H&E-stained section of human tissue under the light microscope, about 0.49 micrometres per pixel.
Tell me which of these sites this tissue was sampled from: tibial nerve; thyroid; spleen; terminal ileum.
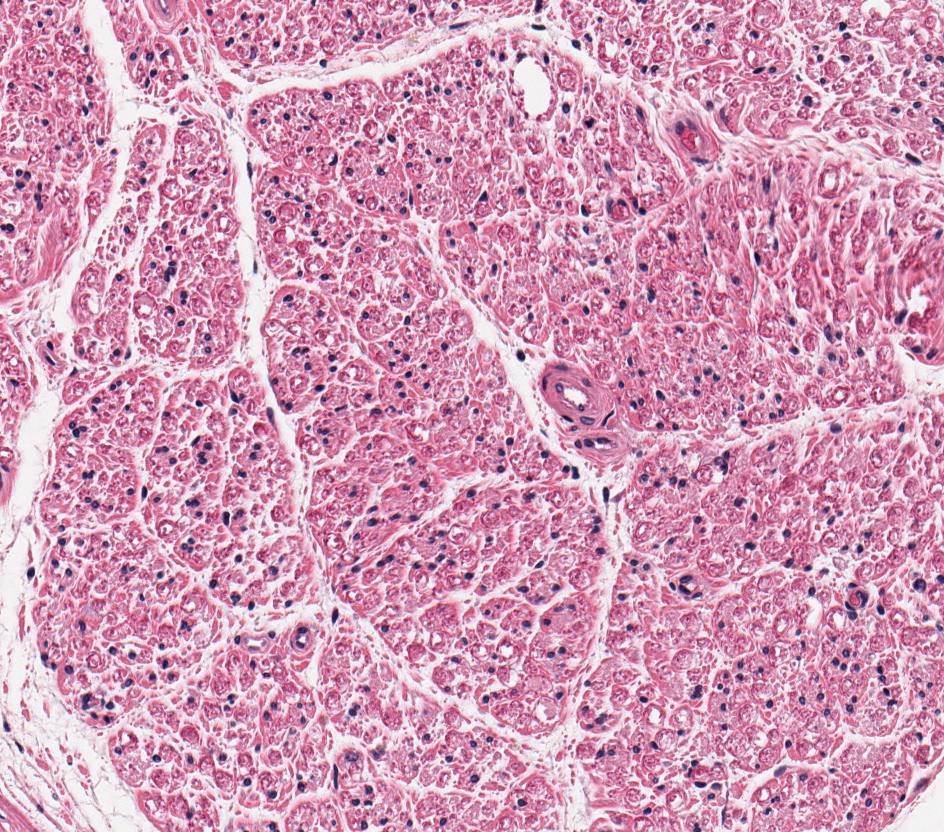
tibial nerve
